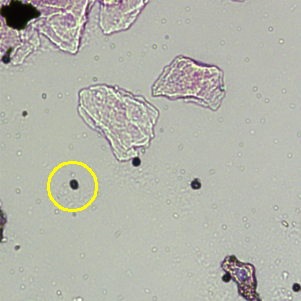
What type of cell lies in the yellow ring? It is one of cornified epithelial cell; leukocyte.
The ringed cell is a leukocyte.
